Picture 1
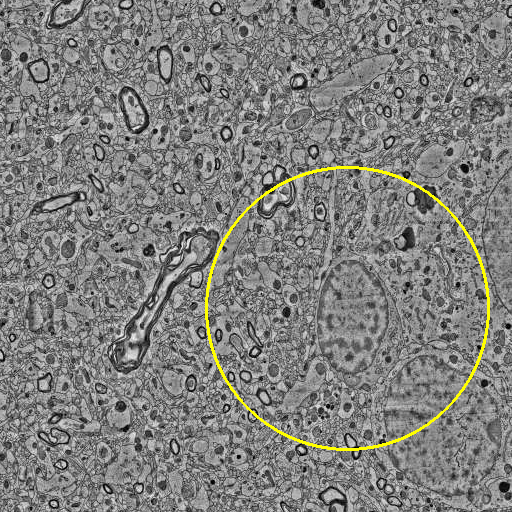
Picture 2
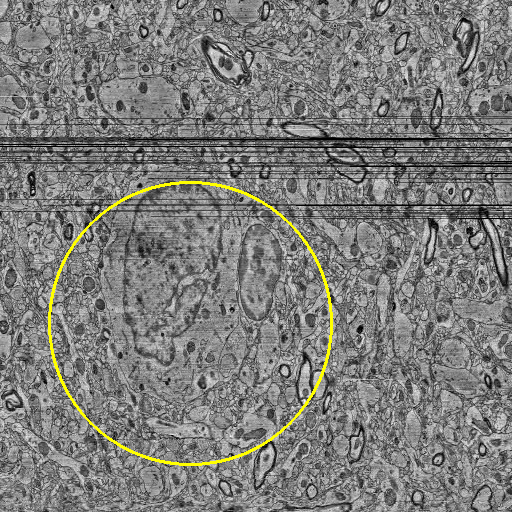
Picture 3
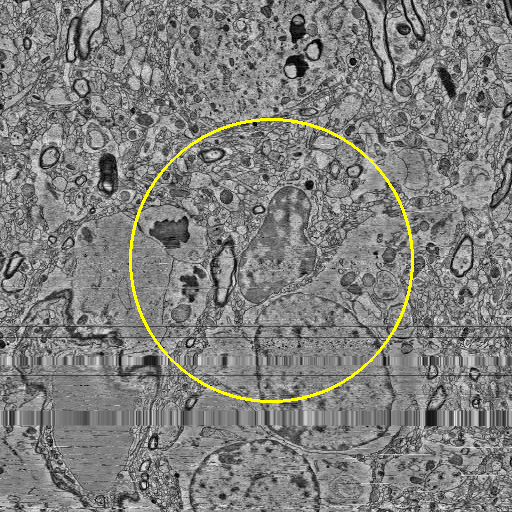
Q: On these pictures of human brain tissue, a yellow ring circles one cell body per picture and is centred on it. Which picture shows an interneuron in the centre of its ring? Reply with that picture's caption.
Picture 2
